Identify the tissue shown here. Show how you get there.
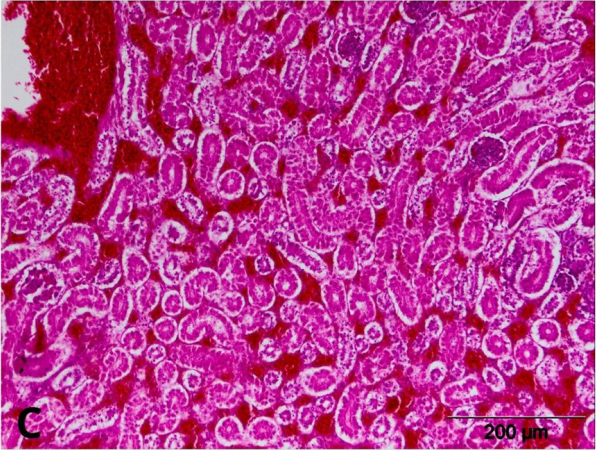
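Many closely packed tubules cut in cross and longitudinal section. A few rounded glomerulus-like tufts lie among the tubules. So: Kidney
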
